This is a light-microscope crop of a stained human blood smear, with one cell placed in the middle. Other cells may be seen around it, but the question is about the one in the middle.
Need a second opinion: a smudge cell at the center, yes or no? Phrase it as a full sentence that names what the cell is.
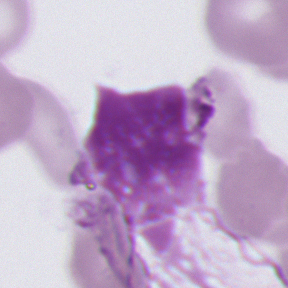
Yes, the cell under consideration, the one in the middle, is a smudge cell.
